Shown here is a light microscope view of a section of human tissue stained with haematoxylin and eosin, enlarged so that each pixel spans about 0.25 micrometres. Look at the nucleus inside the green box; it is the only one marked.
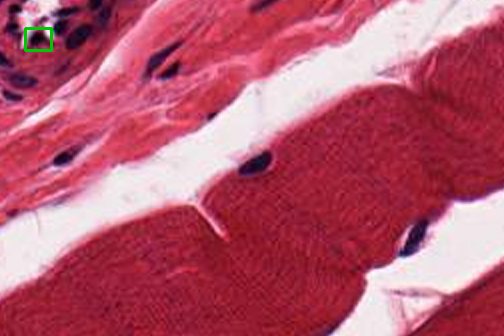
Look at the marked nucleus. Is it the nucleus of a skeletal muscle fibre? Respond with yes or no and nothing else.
no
